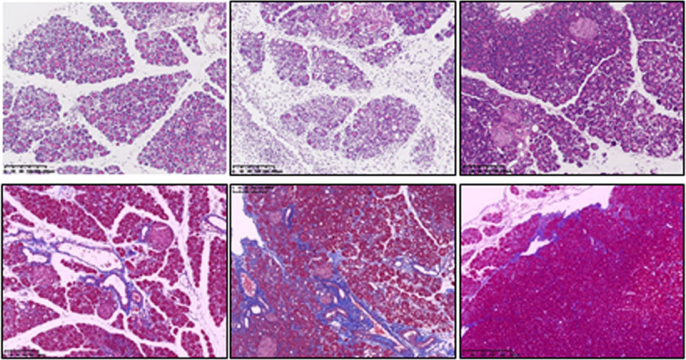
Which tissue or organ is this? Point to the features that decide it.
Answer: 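Pancreata. Lobules of densely packed glandular acini. Pale, rounded cell clusters set within the lobules.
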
